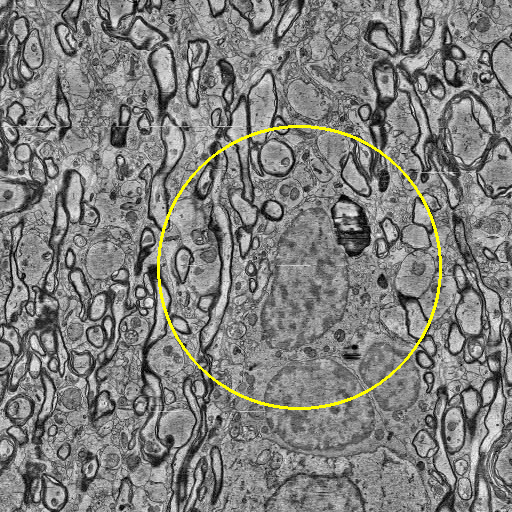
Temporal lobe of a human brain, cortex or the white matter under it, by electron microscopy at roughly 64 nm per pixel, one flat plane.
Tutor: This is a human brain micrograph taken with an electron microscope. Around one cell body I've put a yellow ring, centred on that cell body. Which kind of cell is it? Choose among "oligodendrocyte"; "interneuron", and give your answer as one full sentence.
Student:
Going by your list, the cell centred in the yellow ring is an oligodendrocyte.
